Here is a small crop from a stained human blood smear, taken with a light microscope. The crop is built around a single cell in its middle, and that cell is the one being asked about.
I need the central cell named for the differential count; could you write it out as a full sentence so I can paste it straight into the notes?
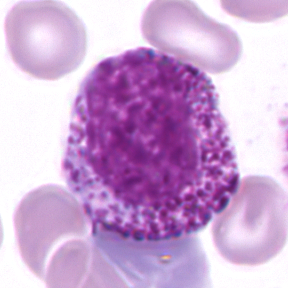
At the center of the crop sits a myelocyte.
